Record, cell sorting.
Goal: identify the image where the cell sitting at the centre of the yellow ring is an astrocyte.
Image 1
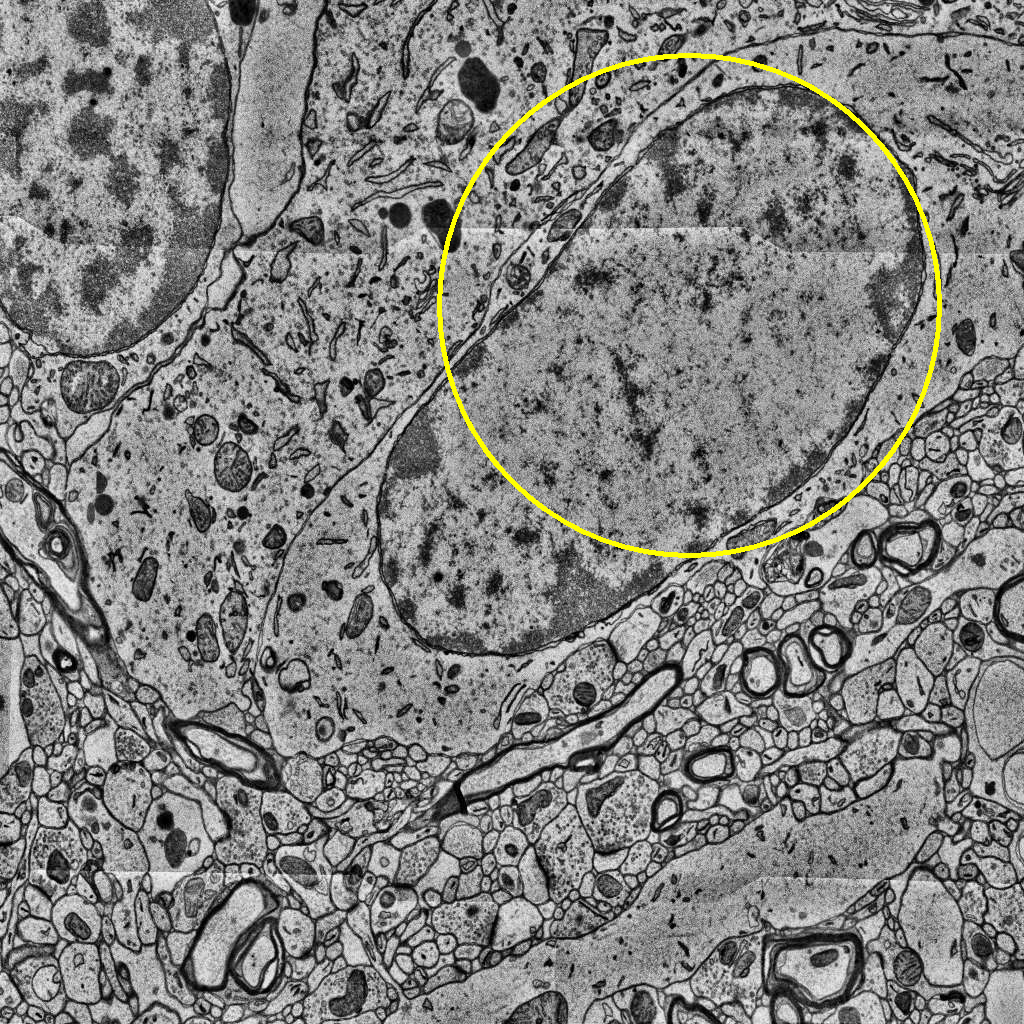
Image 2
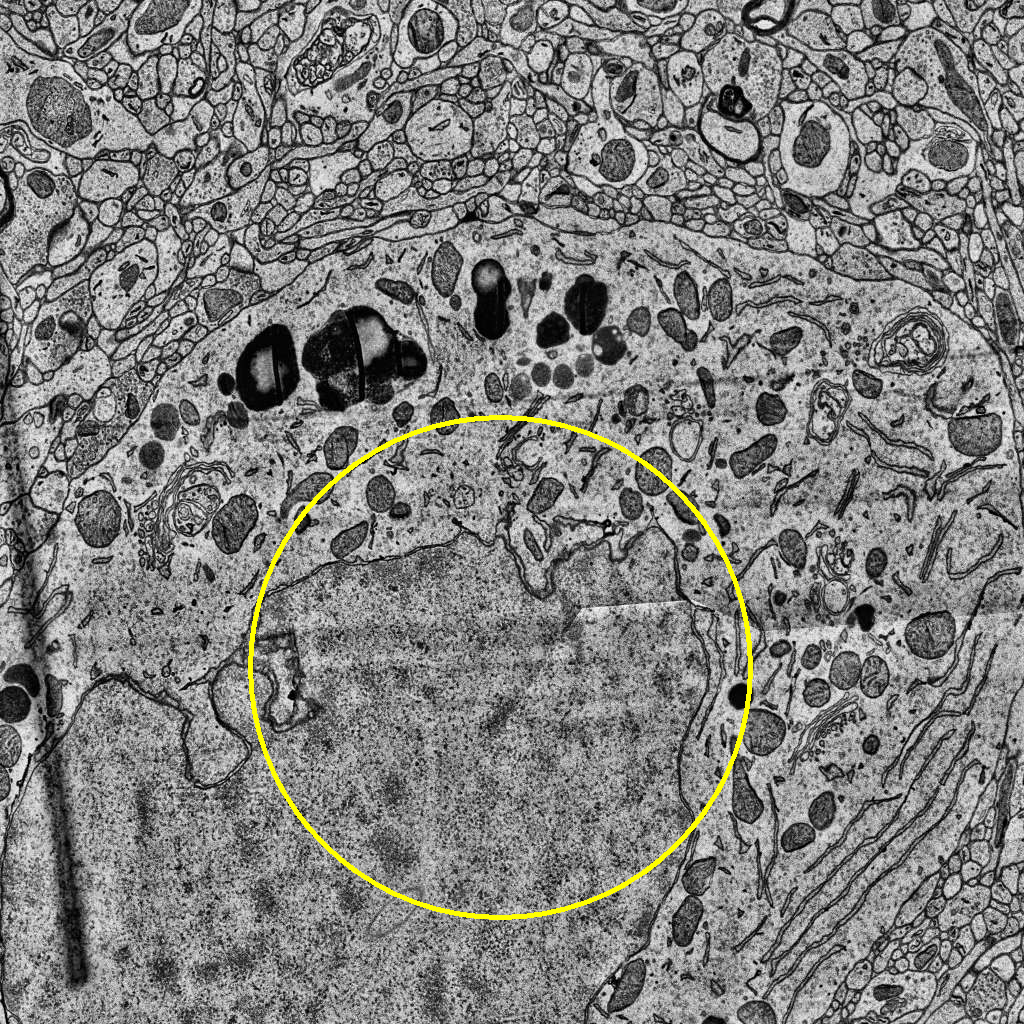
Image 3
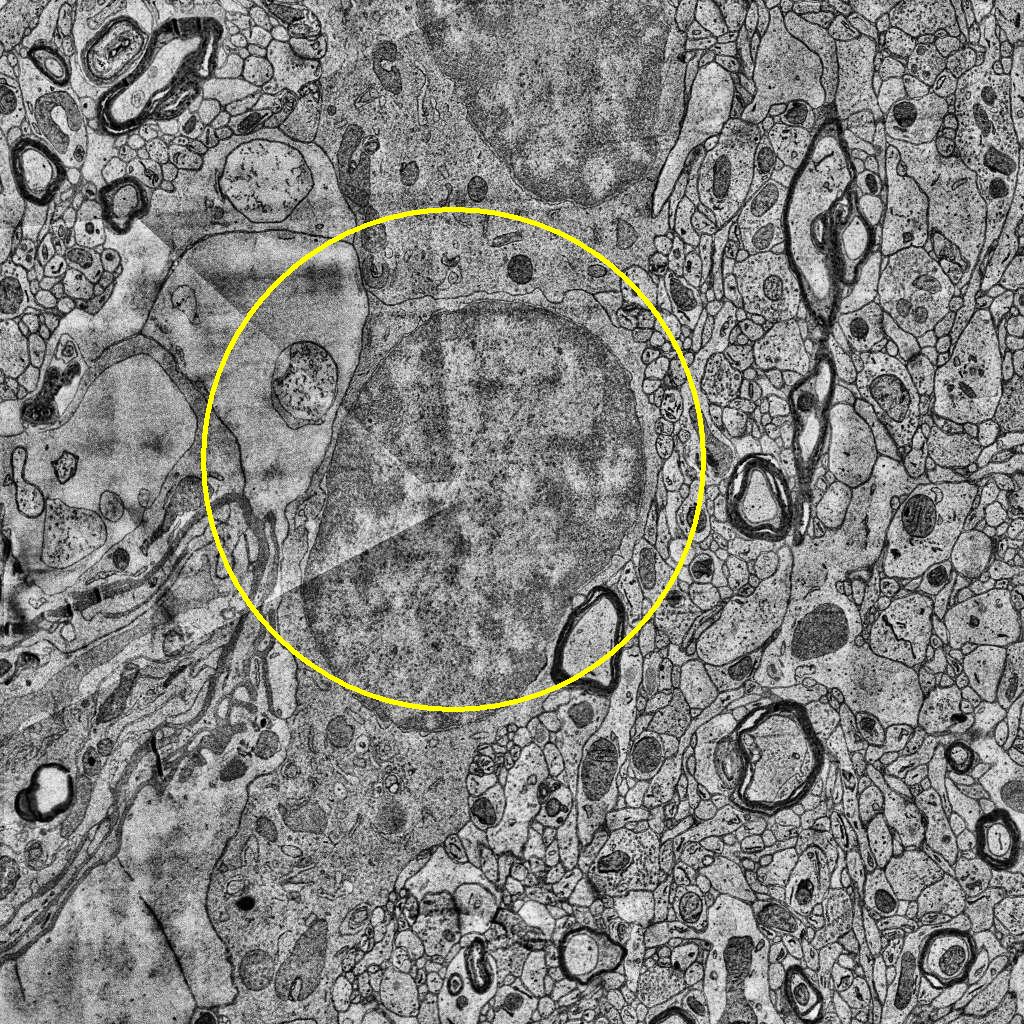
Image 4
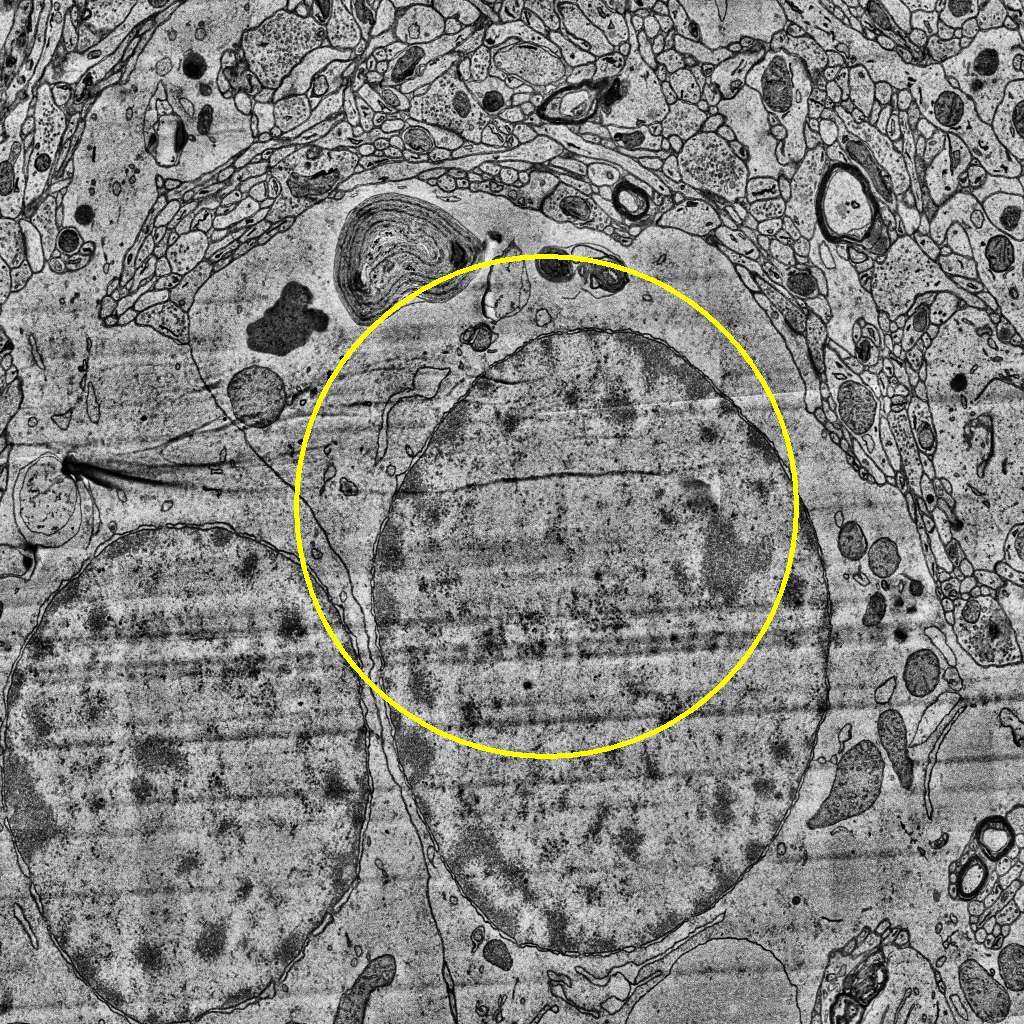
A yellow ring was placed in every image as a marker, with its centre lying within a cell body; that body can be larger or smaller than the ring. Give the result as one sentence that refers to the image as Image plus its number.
Image 4 shows the requested cell sitting right at the centre of its ring.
